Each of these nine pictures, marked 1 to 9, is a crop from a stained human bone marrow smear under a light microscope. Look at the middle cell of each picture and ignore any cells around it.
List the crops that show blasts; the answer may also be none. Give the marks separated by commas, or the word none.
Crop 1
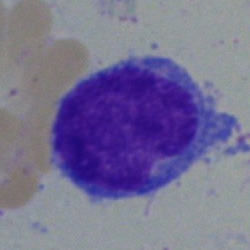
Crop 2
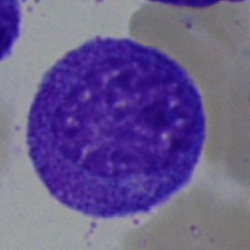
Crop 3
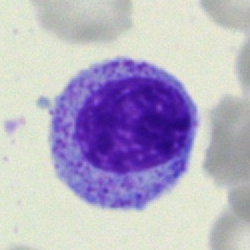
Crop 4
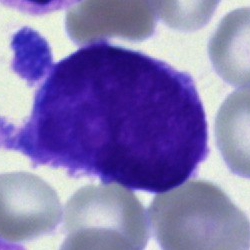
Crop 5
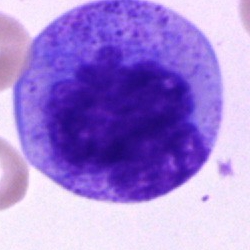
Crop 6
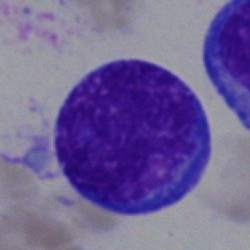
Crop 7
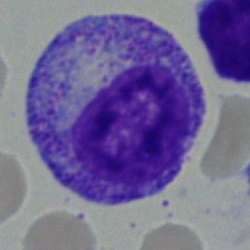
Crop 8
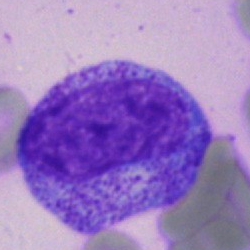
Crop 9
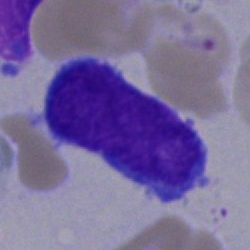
1, 4, 6, 9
